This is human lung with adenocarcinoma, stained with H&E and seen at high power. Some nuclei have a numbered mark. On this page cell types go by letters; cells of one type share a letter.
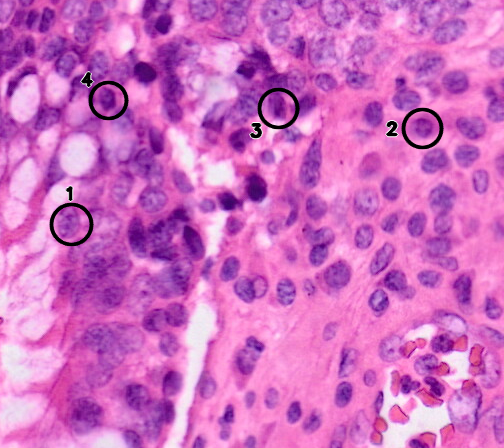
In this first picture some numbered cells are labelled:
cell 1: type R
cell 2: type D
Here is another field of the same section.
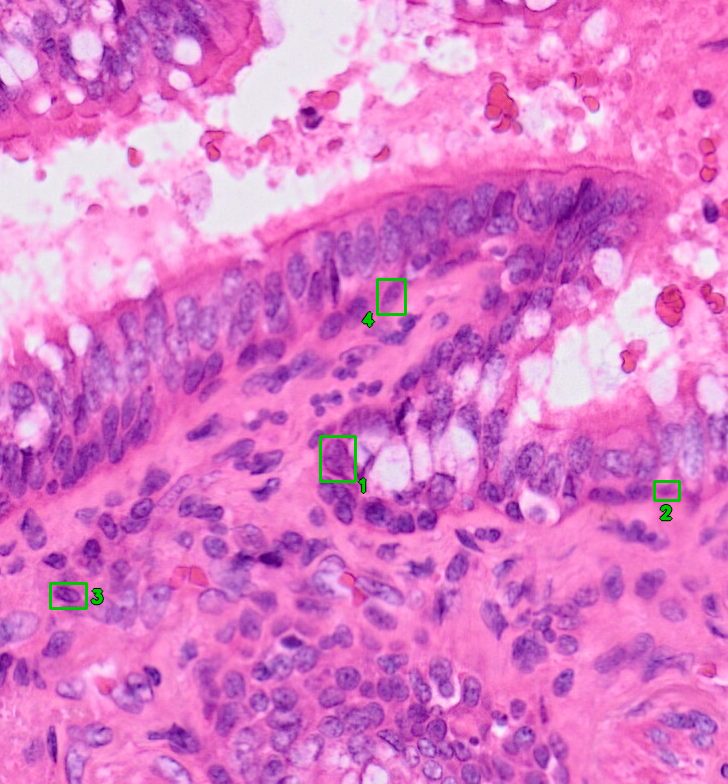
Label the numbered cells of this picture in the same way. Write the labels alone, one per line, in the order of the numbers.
type R
type R
type D
type R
